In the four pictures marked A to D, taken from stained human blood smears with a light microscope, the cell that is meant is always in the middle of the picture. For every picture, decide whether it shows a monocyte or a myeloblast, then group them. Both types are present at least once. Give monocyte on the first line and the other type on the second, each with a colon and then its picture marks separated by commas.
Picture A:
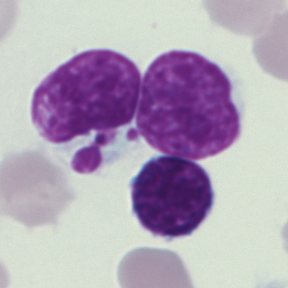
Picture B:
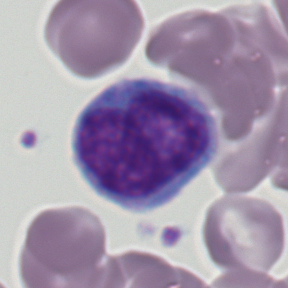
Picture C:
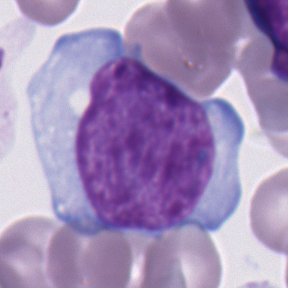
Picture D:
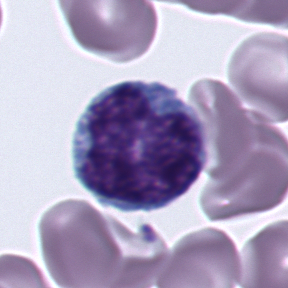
monocyte: B, D
myeloblast: A, C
